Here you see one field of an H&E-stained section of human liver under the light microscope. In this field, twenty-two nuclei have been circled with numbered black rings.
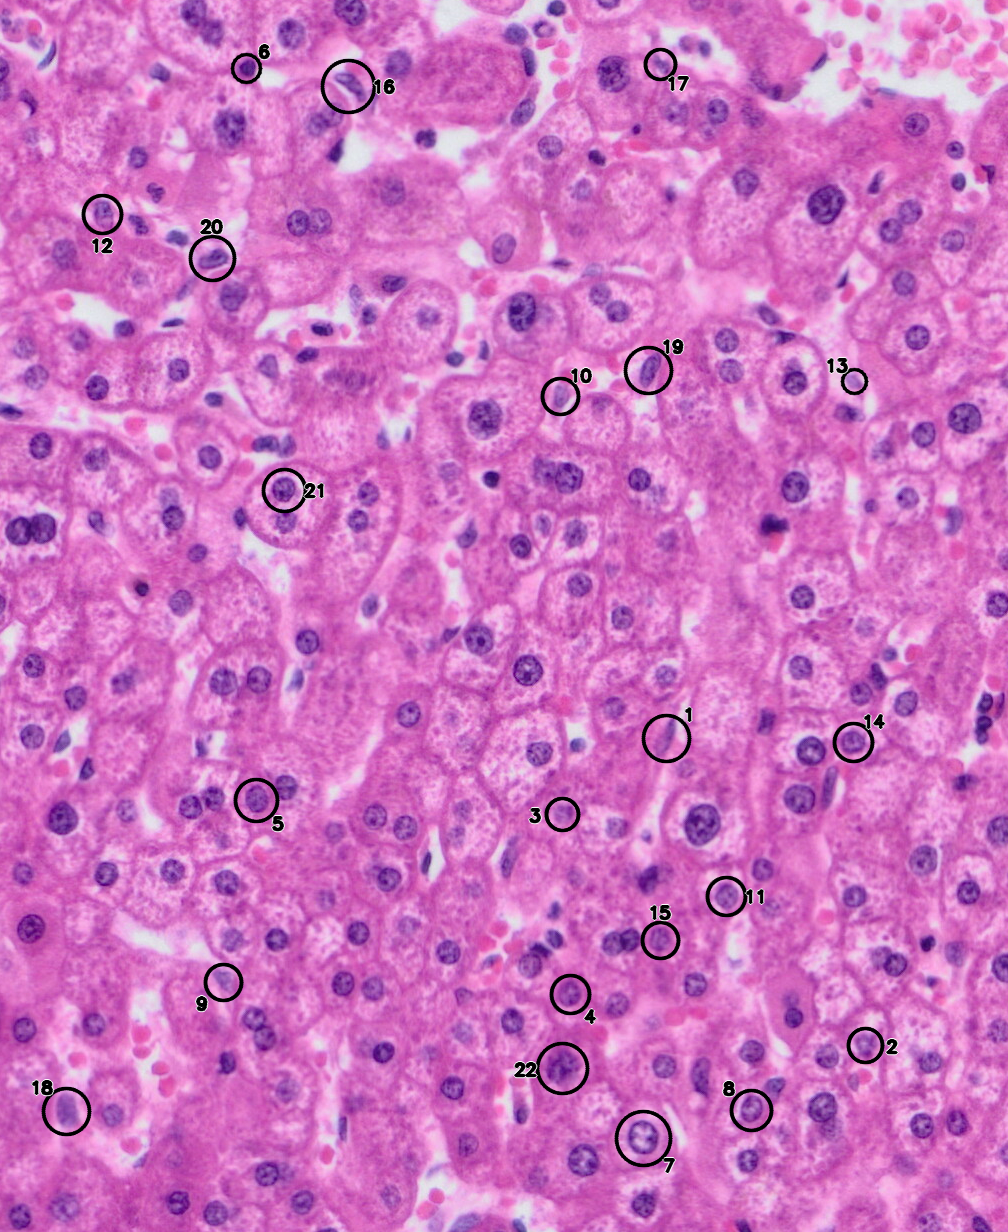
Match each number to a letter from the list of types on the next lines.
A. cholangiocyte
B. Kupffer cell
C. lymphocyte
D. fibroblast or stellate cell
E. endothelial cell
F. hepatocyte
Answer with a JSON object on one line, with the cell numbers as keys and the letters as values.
{"1": "B", "2": "F", "3": "F", "4": "F", "5": "F", "6": "D", "7": "F", "8": "F", "9": "B", "10": "B", "11": "F", "12": "B", "13": "B", "14": "F", "15": "F", "16": "B", "17": "D", "18": "E", "19": "B", "20": "B", "21": "F", "22": "F"}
